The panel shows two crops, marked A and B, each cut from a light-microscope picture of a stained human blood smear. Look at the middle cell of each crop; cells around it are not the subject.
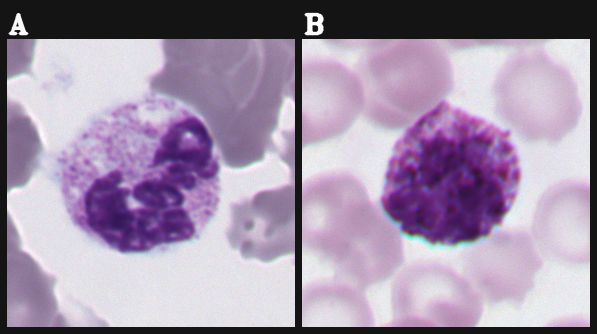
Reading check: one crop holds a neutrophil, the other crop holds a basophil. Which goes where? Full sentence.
Crop A is to be labelled a neutrophil, and crop B a basophil.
